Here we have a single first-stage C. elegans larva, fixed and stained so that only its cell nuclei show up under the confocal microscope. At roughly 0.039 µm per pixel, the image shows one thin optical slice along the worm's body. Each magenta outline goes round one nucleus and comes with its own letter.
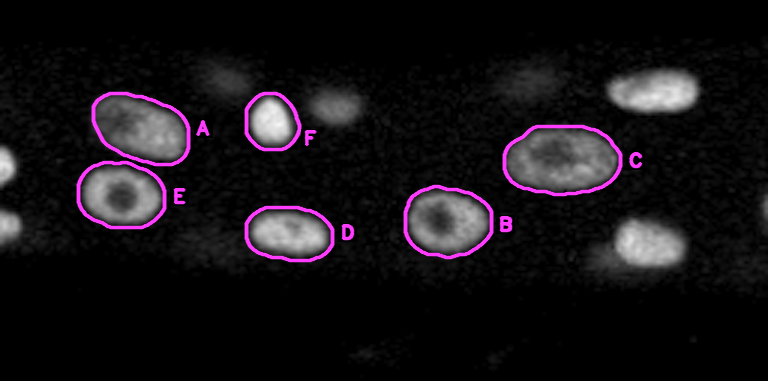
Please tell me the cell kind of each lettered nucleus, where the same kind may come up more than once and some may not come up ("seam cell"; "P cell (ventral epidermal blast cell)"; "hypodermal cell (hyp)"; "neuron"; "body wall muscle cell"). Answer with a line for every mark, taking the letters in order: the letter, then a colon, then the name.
A: neuron
B: seam cell
C: hypodermal cell (hyp)
D: P cell (ventral epidermal blast cell)
E: seam cell
F: hypodermal cell (hyp)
